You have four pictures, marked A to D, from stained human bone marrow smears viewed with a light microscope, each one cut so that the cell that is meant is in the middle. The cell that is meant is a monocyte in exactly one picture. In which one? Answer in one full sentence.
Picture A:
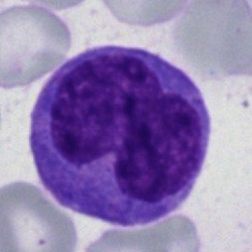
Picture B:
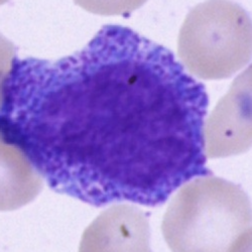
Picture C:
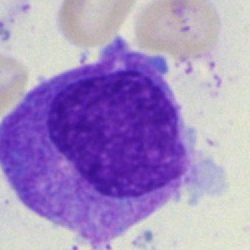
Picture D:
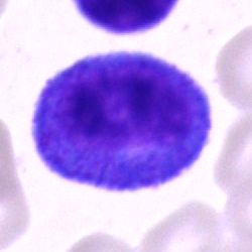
It is picture A that shows the monocyte.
